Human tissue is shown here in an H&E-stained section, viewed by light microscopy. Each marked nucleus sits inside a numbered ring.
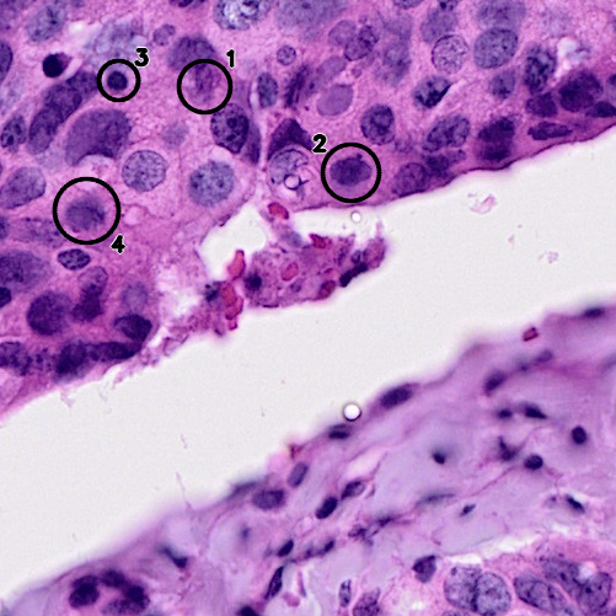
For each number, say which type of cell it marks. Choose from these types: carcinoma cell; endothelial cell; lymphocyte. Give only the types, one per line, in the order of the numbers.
carcinoma cell
carcinoma cell
lymphocyte
carcinoma cell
